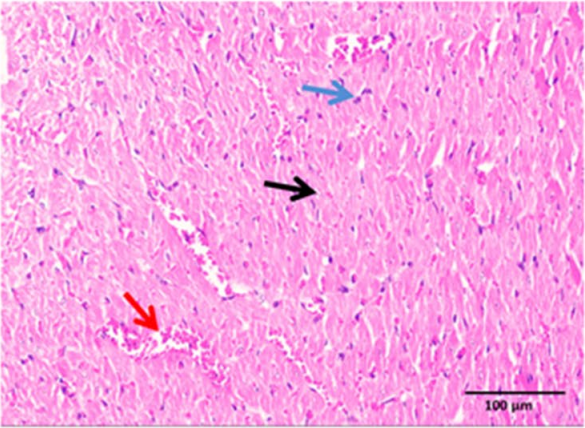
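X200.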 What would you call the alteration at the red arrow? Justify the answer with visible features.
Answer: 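The arrow points to a widened channel packed with small red-pink bodies.
Hence: congested dilated blood vessels.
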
